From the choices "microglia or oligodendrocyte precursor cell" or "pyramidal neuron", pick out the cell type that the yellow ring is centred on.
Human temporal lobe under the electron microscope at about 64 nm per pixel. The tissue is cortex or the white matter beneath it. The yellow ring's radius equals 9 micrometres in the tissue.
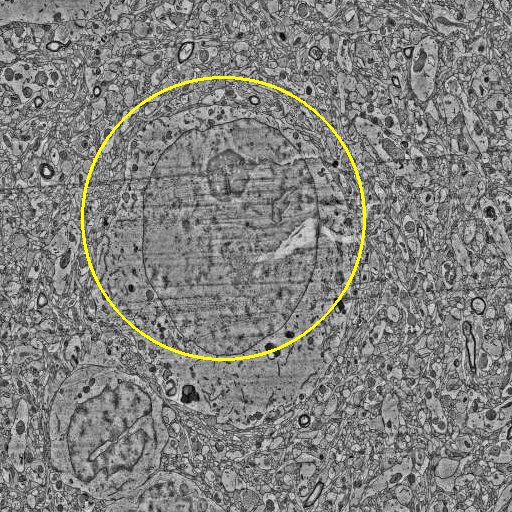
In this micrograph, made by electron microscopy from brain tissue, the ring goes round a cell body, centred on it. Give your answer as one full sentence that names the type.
The yellow ring is centred on a pyramidal neuron, whose cell body it encircles in the picture.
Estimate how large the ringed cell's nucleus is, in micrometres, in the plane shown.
Roughly 15 by 12 micrometres is the size of the nucleus in this plane.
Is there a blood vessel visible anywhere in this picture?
No, the image shows no blood vessel.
